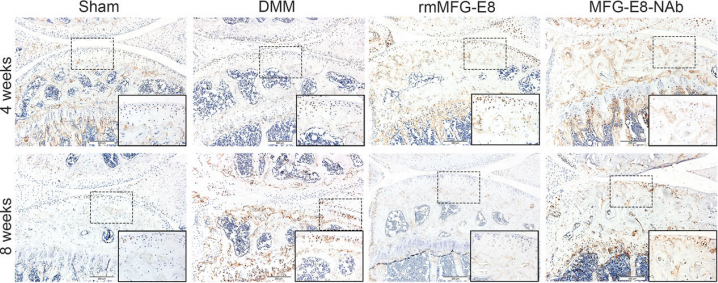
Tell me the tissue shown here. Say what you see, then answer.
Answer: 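Pale, smooth layers of matrix with scattered small cells line opposing joint surfaces. Bone marrow spaces with dense blue-stained cells lie beneath the pale layers. That points to this answer: knee cartilage.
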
